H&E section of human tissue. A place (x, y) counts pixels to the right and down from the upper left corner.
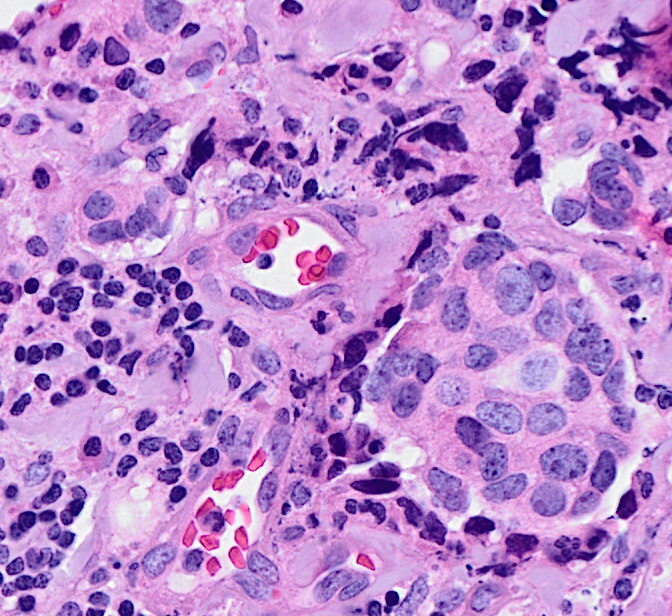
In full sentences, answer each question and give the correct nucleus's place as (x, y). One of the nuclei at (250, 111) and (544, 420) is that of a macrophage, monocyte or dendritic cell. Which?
Of the two nuclei, that at (250, 111) is the nucleus of a macrophage, monocyte or dendritic cell.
